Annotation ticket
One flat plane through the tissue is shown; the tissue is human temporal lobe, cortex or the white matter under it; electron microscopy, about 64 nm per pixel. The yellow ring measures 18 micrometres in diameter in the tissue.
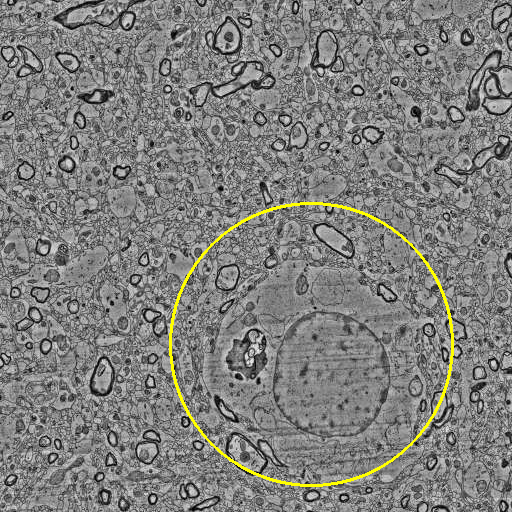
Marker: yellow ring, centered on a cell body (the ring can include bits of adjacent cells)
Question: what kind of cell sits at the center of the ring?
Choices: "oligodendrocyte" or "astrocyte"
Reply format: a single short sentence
The ring is centered on an astrocyte.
